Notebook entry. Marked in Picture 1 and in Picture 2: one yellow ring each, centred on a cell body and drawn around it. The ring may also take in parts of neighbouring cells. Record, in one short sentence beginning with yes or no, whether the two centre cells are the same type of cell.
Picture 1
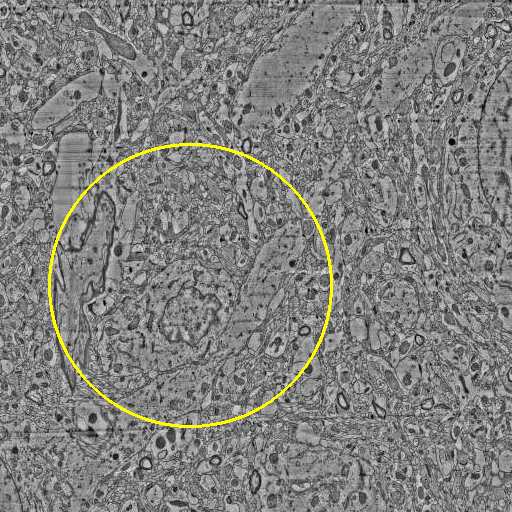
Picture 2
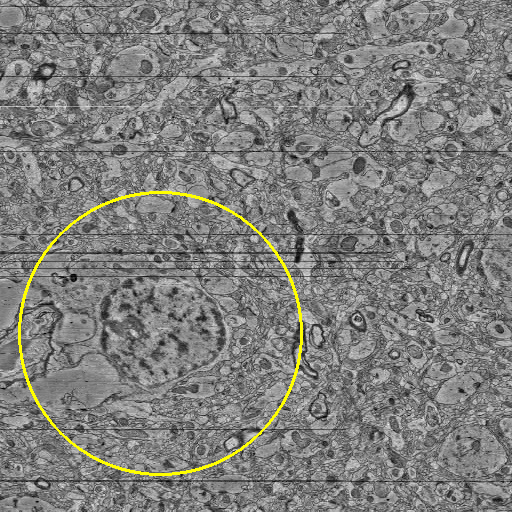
No, they are two types of cell.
